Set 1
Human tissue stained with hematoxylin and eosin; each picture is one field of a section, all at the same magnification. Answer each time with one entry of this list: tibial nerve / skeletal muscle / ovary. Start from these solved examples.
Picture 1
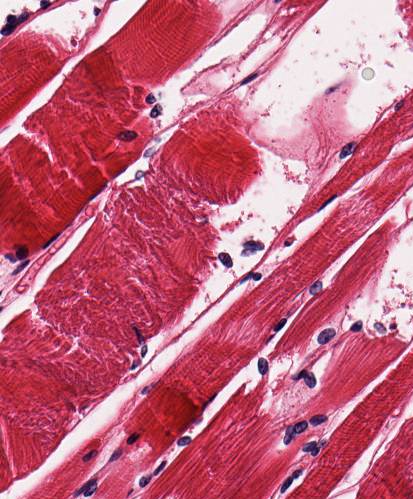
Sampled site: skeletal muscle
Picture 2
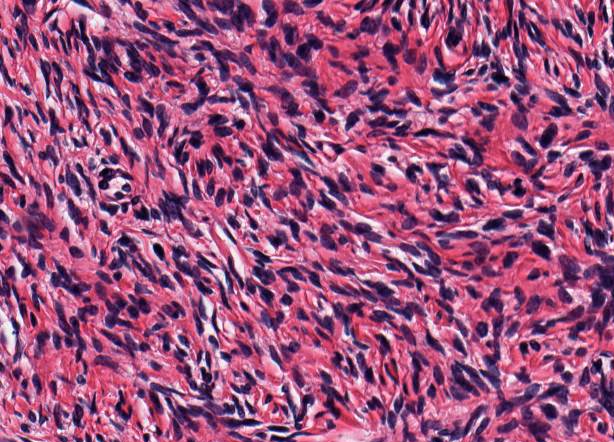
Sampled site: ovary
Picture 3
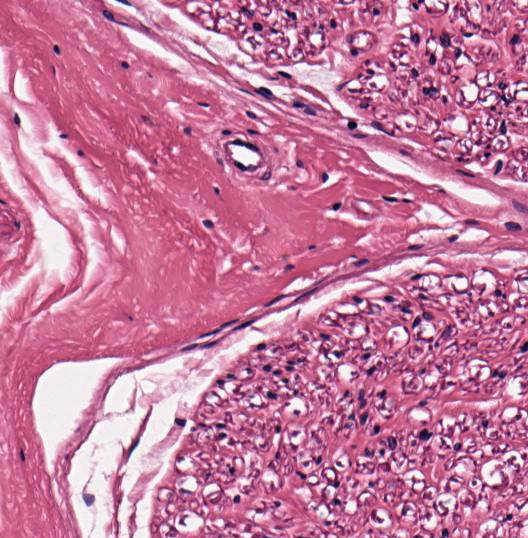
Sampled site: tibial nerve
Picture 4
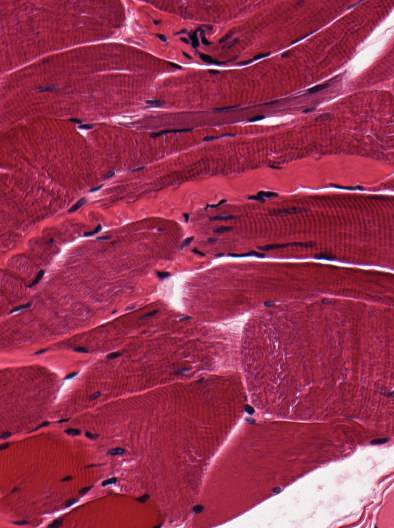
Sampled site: skeletal muscle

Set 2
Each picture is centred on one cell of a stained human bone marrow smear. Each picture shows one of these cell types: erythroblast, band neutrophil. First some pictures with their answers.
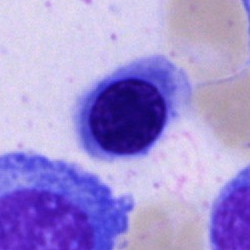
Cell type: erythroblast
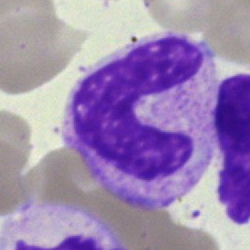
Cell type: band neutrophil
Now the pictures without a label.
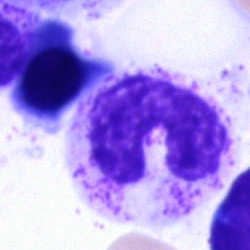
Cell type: band neutrophil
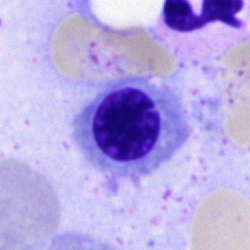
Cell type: erythroblast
